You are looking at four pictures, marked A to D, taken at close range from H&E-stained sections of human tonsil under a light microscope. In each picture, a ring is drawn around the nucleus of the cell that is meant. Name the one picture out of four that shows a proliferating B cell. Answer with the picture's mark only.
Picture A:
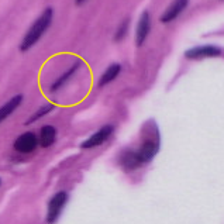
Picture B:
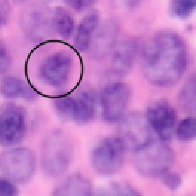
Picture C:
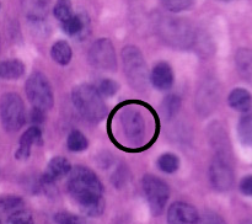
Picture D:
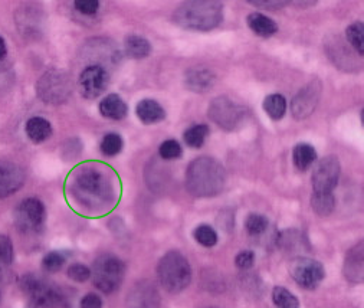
B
